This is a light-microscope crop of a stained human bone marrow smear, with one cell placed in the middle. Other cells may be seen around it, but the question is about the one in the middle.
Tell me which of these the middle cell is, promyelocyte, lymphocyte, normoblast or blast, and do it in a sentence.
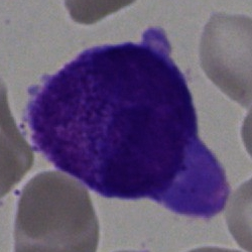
Standing at the centre of this crop is a blast.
